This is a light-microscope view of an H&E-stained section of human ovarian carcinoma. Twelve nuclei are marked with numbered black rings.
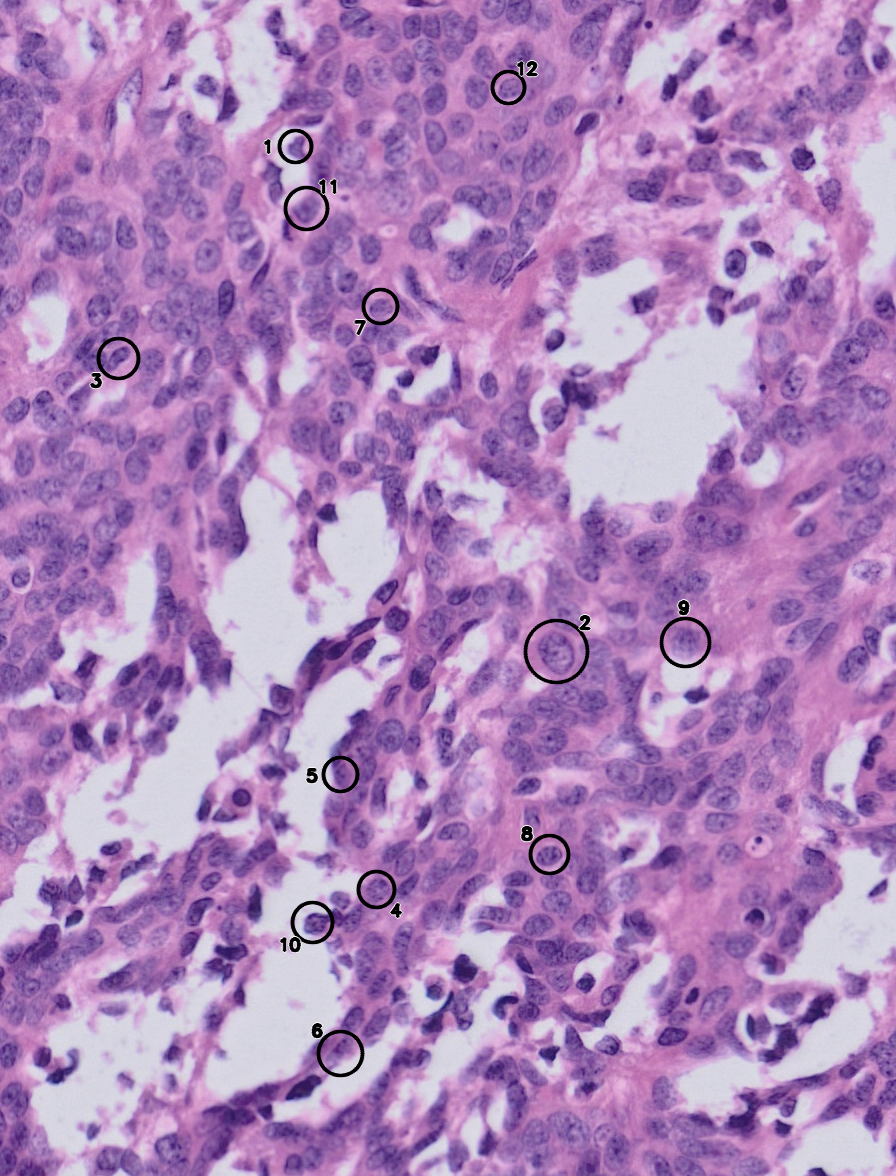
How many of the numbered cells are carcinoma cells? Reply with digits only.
7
